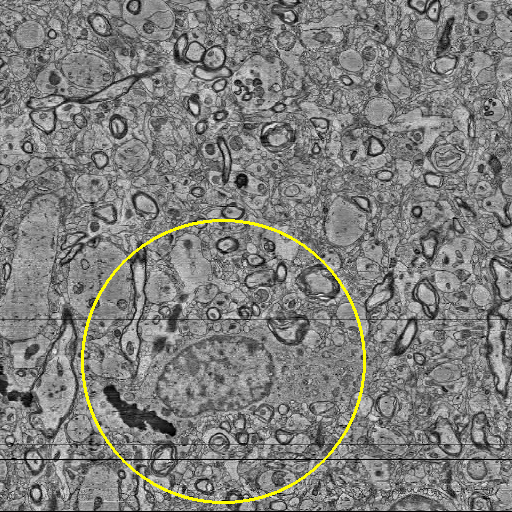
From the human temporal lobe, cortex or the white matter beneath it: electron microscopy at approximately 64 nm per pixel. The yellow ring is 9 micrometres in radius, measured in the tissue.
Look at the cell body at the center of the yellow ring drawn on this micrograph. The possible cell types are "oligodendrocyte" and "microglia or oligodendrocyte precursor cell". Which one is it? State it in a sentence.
The cell in the middle of the ring is an oligodendrocyte.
